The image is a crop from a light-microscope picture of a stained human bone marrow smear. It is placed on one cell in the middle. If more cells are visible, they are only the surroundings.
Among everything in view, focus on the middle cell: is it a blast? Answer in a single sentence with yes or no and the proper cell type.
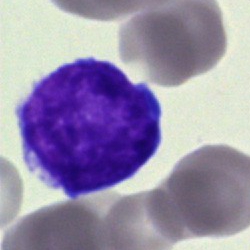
Yes, centred in the crop is a blast.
